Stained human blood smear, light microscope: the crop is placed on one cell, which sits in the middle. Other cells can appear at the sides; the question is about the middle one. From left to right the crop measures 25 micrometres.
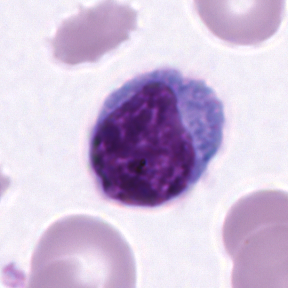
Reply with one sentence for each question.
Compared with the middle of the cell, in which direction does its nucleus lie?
The nucleus sits off-centre, toward the lower left.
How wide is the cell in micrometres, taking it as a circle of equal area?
About 12 micrometres: that is the cell's diameter.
